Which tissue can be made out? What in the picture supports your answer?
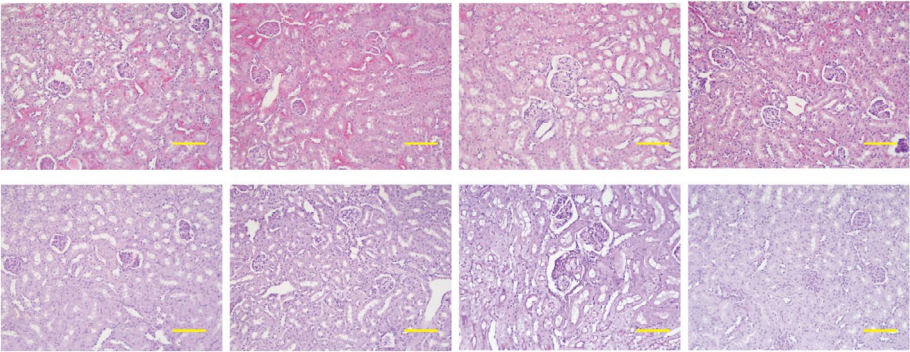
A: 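Round tufted glomeruli scattered among tubules. Many cross-sectioned tubules with open lumina lined by cuboidal epithelium. On this evidence: renal.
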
